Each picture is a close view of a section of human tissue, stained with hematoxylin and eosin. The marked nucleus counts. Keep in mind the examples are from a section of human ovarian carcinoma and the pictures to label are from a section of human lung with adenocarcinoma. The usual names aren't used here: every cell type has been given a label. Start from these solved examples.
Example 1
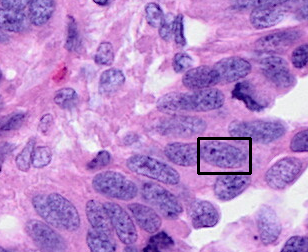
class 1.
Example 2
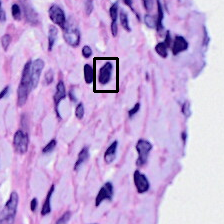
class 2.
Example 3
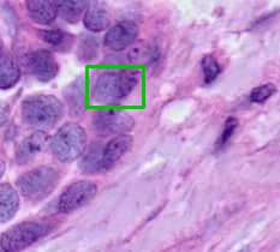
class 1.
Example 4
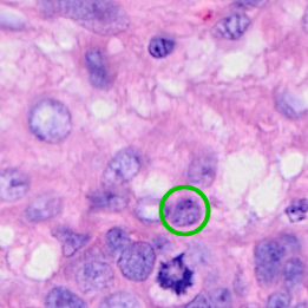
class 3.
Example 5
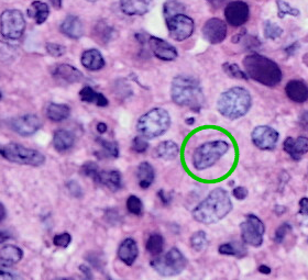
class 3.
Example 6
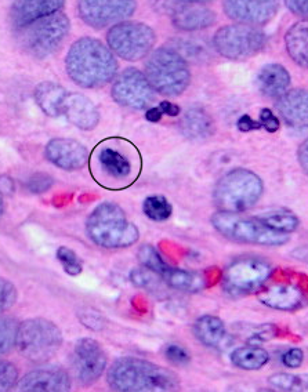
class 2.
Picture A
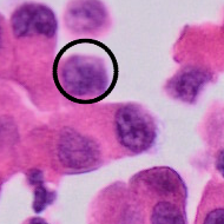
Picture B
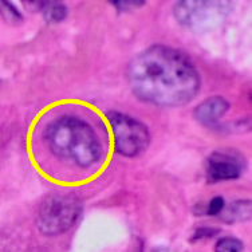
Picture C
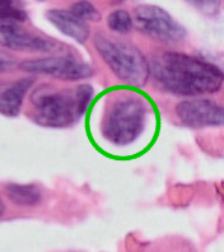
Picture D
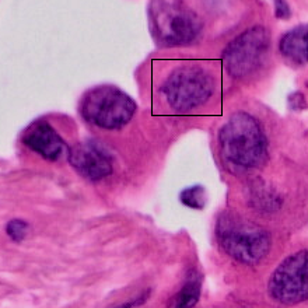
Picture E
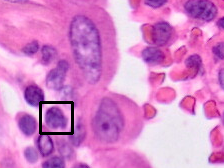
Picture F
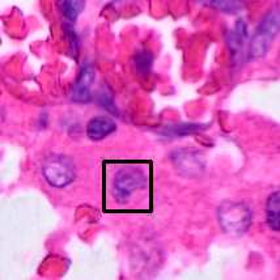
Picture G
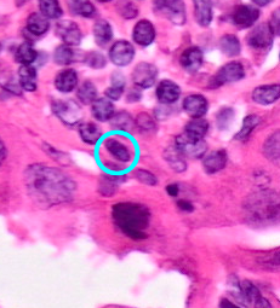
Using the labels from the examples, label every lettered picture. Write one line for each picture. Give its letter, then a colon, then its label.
A: class 1.
B: class 1.
C: class 1.
D: class 1.
E: class 2.
F: class 3.
G: class 2.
